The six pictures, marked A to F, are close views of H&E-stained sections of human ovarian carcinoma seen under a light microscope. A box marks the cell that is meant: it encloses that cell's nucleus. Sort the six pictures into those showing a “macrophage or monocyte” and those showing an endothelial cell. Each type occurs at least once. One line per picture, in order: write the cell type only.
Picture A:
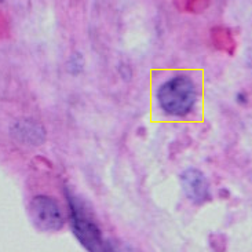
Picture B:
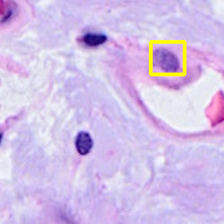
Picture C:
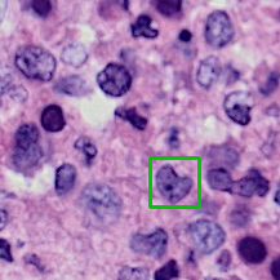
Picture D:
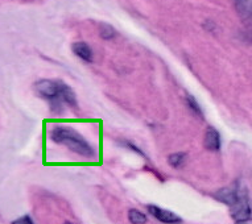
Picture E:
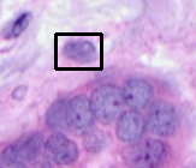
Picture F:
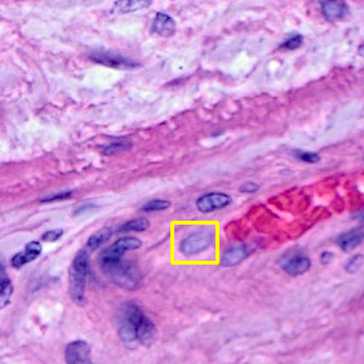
macrophage or monocyte
endothelial cell
macrophage or monocyte
endothelial cell
macrophage or monocyte
endothelial cell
